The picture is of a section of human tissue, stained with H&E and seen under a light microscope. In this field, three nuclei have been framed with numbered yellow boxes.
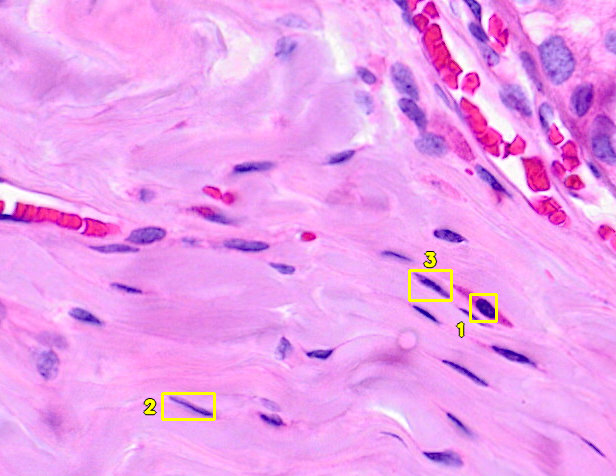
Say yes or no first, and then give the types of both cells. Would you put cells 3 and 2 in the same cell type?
Yes, by their numbers, cells 3 and 2 are both fibroblasts.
